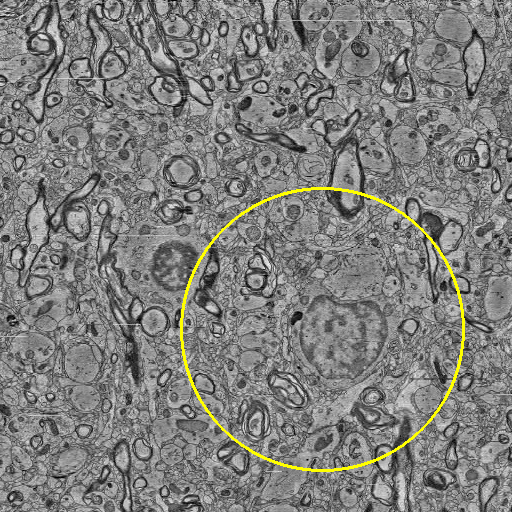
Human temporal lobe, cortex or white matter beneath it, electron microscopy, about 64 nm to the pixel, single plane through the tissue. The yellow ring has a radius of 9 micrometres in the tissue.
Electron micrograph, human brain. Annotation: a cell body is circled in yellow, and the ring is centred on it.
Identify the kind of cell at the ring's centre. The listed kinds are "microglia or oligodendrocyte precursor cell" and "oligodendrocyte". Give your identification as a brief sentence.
The circled cell body is that of an oligodendrocyte.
